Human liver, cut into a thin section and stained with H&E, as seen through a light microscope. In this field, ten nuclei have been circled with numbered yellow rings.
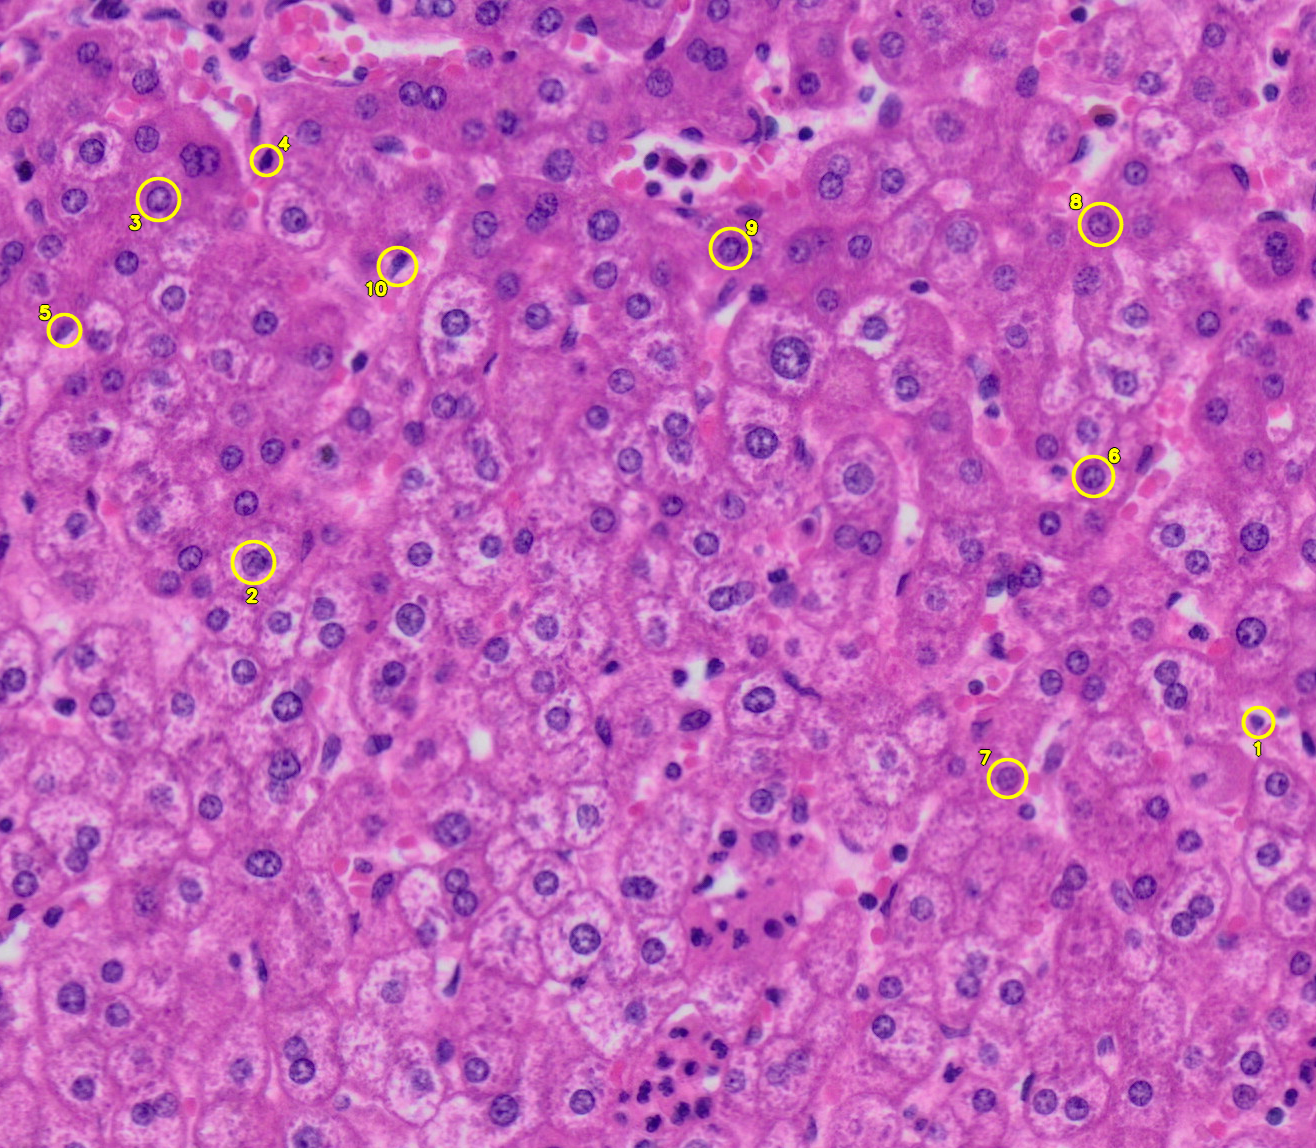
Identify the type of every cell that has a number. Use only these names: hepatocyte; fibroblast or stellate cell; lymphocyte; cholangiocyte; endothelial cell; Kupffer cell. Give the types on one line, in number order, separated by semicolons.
lymphocyte; hepatocyte; hepatocyte; fibroblast or stellate cell; endothelial cell; hepatocyte; hepatocyte; hepatocyte; hepatocyte; fibroblast or stellate cell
